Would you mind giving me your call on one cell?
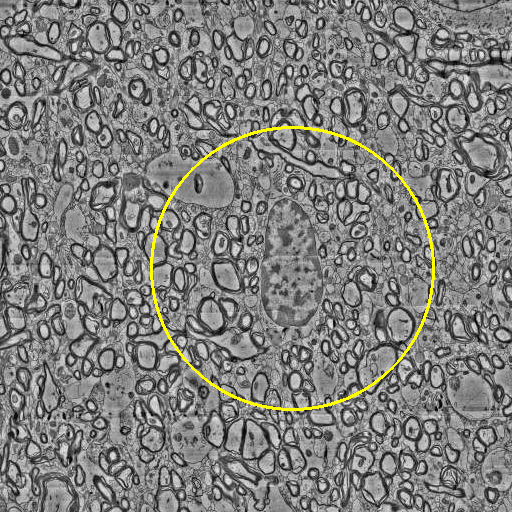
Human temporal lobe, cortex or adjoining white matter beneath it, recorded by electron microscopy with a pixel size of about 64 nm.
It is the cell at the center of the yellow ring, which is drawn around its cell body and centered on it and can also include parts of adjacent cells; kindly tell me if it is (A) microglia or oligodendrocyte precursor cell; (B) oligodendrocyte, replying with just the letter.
A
